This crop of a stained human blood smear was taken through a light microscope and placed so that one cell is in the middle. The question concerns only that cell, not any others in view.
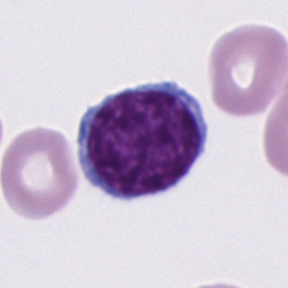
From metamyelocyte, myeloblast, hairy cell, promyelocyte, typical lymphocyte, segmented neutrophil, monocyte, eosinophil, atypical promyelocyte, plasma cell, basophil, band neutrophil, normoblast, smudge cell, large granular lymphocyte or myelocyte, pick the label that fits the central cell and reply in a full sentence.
The middle of this crop holds a typical lymphocyte.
